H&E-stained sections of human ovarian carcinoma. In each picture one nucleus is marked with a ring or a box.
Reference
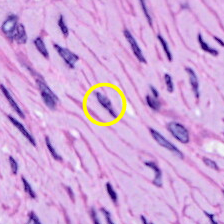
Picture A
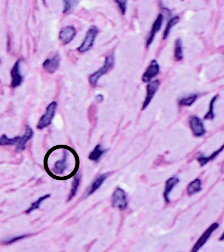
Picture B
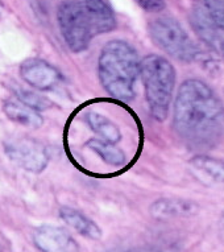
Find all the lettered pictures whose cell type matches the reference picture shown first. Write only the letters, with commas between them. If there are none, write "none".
A, B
